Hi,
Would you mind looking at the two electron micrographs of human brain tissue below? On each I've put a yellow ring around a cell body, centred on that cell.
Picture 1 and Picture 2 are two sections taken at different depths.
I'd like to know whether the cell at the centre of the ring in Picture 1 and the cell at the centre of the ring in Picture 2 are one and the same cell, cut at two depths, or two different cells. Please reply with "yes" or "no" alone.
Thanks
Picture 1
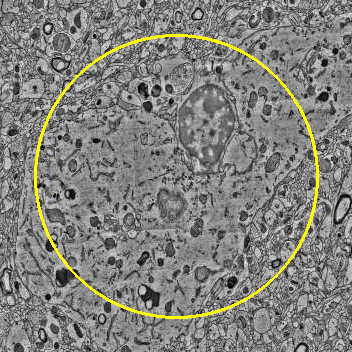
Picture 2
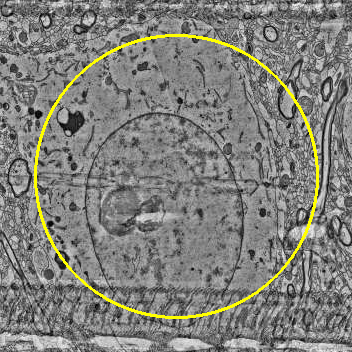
no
